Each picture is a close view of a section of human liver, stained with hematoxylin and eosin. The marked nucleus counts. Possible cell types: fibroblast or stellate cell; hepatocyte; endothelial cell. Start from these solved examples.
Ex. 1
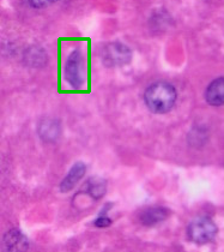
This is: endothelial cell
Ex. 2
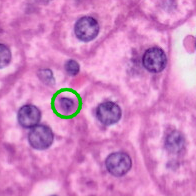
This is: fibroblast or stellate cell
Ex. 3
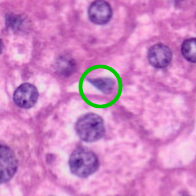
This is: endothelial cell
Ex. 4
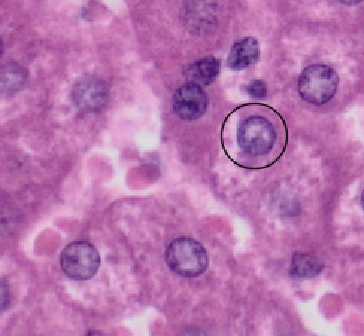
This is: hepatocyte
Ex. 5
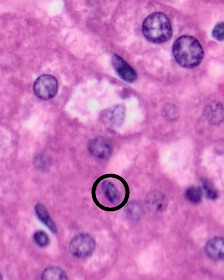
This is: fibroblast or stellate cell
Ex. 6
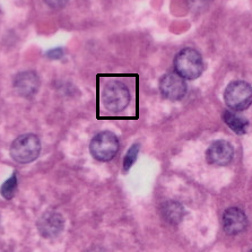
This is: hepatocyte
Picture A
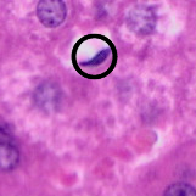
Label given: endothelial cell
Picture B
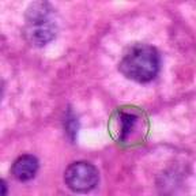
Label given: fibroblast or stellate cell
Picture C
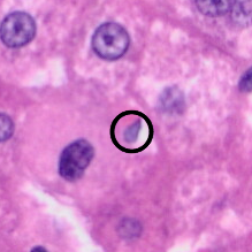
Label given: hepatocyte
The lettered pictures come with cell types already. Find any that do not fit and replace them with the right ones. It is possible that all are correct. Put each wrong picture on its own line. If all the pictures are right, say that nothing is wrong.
C should be endothelial cell, not hepatocyte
